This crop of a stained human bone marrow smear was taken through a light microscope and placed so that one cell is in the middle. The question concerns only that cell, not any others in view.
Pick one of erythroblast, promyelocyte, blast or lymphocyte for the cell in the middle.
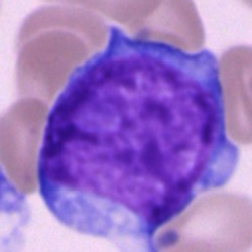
blast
